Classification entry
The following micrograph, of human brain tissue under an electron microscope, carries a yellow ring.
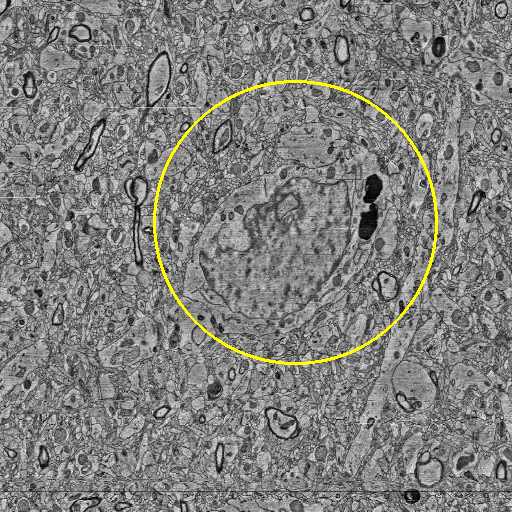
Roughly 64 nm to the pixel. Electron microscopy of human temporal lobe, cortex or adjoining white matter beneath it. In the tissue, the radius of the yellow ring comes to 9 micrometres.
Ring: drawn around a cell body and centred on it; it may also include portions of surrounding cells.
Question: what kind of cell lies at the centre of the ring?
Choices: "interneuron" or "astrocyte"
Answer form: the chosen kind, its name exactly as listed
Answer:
interneuron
